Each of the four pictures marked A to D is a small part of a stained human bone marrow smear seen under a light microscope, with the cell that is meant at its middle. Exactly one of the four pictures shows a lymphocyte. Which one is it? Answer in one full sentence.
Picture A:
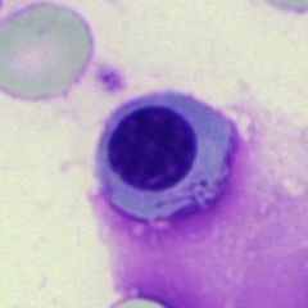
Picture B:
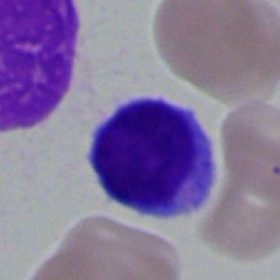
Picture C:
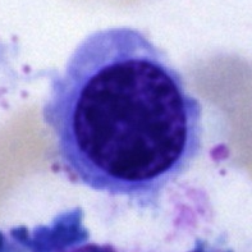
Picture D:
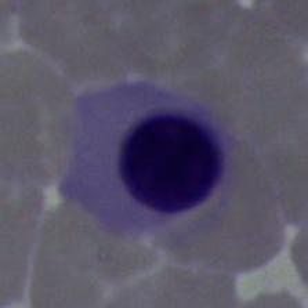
The picture with the lymphocyte is B.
